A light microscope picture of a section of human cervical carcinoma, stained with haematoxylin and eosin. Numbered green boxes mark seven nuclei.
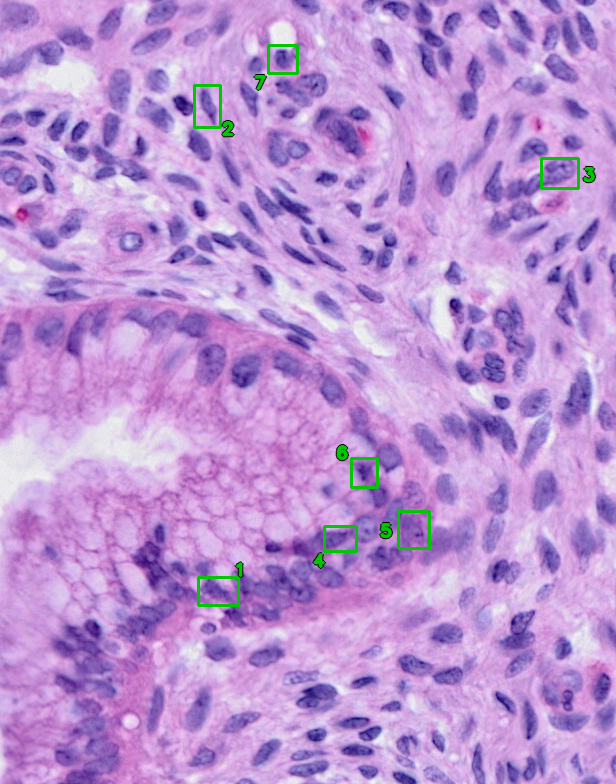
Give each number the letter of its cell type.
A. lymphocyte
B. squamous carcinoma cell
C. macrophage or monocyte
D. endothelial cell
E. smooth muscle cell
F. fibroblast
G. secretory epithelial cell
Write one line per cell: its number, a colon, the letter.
1: G
2: F
3: D
4: G
5: G
6: G
7: D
